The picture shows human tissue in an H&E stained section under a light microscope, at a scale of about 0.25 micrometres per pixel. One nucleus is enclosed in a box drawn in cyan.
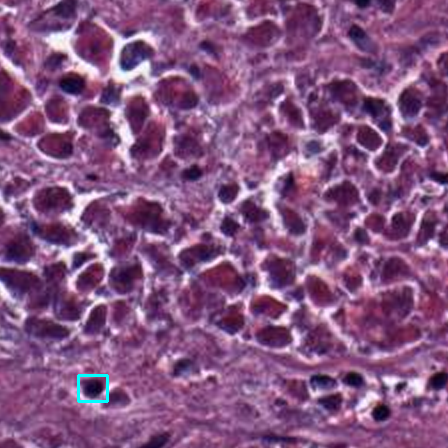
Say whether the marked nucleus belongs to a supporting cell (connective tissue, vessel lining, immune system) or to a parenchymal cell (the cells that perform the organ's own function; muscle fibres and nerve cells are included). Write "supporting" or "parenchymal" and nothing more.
supporting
